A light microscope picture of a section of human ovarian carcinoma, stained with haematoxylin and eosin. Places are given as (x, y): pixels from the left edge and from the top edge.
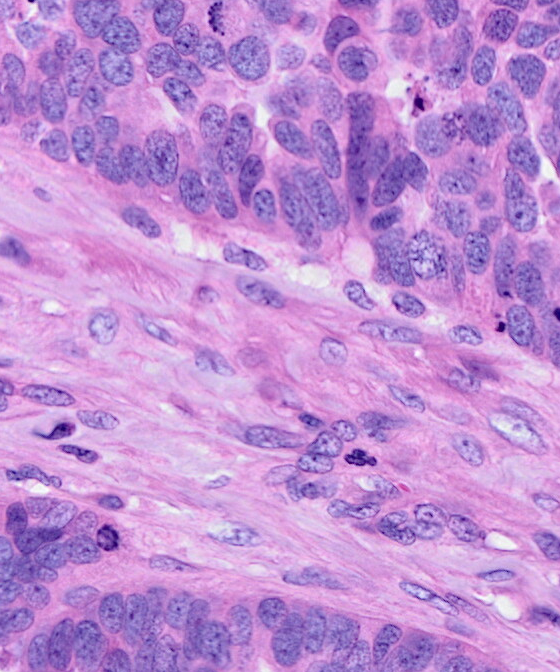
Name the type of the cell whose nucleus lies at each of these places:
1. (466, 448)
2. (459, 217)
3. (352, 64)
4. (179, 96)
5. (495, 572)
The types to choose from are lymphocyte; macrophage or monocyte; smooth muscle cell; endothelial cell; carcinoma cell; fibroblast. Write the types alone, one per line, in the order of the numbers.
fibroblast
carcinoma cell
carcinoma cell
carcinoma cell
fibroblast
